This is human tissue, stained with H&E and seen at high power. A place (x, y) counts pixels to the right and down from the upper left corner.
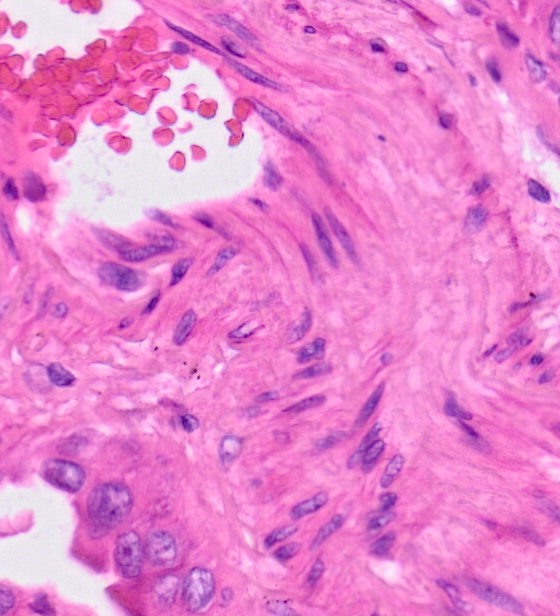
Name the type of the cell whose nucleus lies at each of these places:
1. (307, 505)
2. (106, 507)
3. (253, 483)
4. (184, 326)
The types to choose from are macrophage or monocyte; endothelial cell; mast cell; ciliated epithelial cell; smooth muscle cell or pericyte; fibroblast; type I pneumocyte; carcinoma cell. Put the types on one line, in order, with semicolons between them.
smooth muscle cell or pericyte; carcinoma cell; smooth muscle cell or pericyte; smooth muscle cell or pericyte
